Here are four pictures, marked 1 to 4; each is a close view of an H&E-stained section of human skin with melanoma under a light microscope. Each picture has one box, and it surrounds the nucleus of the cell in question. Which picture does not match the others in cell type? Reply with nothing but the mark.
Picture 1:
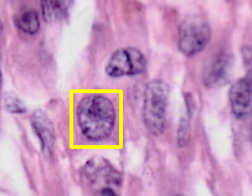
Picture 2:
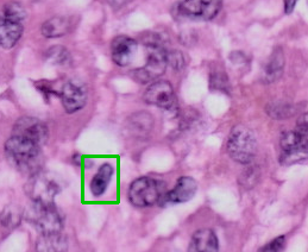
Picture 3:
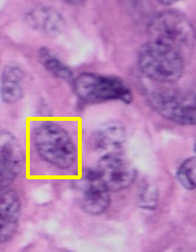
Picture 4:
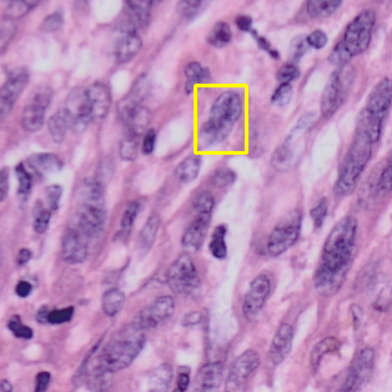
2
